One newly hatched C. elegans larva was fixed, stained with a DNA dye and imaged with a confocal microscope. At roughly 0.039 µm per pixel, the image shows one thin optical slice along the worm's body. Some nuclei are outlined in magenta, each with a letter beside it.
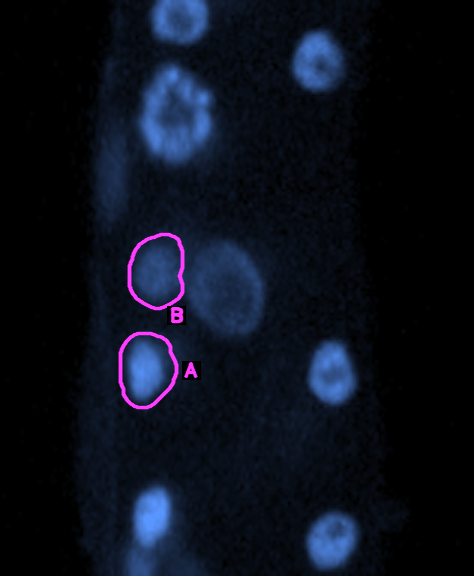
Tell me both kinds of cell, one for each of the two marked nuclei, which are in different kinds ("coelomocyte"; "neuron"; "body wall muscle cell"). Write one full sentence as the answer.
A belongs to a neuron and B to a body wall muscle cell.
